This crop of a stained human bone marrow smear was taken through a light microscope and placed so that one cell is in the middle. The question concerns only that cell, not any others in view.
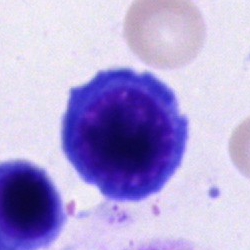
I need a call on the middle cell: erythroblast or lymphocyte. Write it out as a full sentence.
To answer, the cell in the center of the crop is an erythroblast.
